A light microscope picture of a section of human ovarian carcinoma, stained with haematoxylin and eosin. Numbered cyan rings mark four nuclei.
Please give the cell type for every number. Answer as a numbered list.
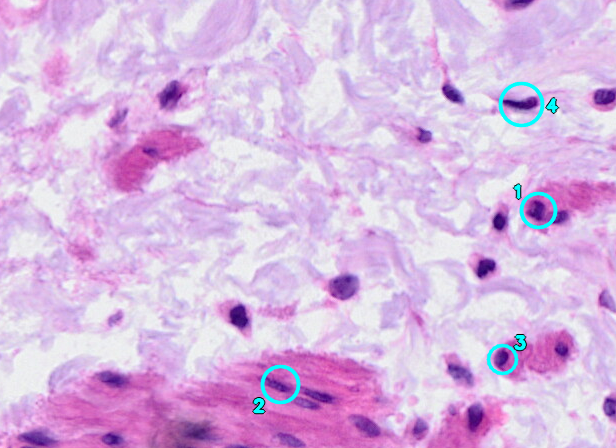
1. smooth muscle cell
2. smooth muscle cell
3. smooth muscle cell
4. fibroblast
